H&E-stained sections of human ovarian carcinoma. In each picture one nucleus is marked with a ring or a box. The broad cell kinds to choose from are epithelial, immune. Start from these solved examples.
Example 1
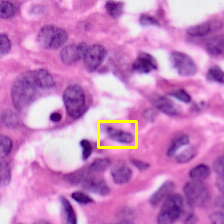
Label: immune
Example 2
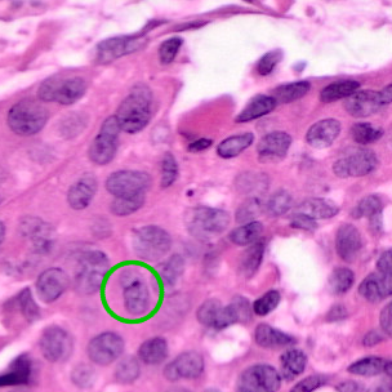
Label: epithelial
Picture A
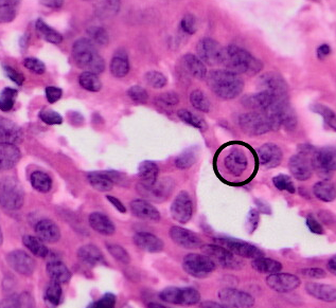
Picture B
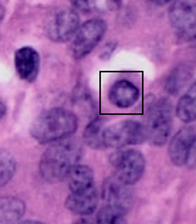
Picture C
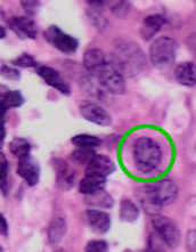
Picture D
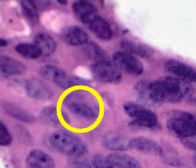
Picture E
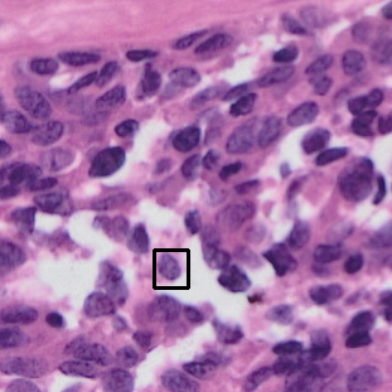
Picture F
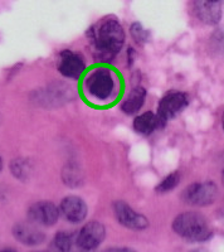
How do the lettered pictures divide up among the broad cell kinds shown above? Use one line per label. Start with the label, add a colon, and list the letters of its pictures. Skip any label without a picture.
epithelial: C, D, F
immune: A, B, E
